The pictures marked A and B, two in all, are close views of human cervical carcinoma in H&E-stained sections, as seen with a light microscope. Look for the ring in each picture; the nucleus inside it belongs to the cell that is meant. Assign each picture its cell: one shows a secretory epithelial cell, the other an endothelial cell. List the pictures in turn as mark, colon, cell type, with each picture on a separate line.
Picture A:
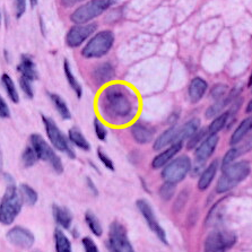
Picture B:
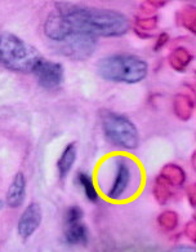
A: secretory epithelial cell
B: endothelial cell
